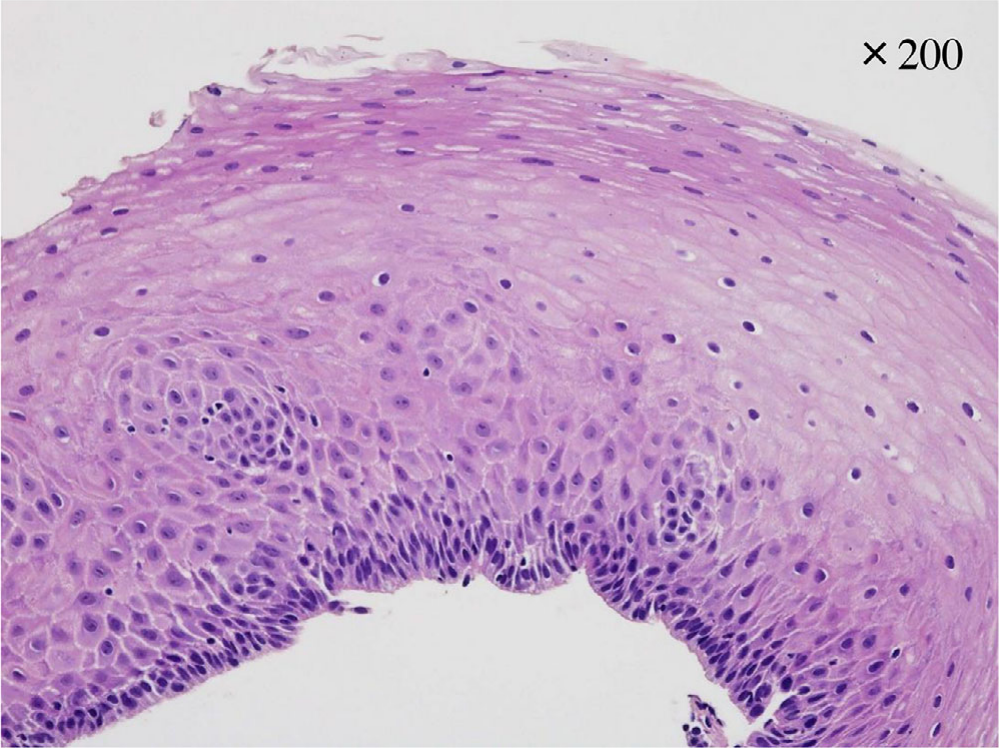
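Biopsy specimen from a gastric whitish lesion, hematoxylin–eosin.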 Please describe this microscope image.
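This is stratified squamous epithelium, seen as a thick sheet of many cell layers. Along the lower edge is a basal row of small, tightly packed cells with dark purple, oval nuclei. Above them lie large polygonal cells with abundant pink cytoplasm, distinct cell borders and round central nuclei. Toward the upper surface the cells become progressively flattened, with thin, elongated nuclei lying parallel to the surface.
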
